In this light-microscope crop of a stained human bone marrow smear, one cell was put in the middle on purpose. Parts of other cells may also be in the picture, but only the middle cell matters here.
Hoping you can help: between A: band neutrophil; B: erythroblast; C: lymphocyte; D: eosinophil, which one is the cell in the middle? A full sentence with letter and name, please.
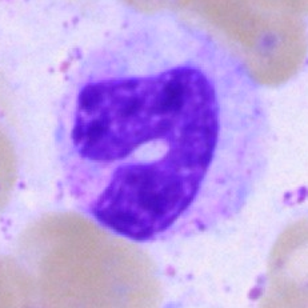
The one to choose is option A, as the cell in the middle is a band neutrophil.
